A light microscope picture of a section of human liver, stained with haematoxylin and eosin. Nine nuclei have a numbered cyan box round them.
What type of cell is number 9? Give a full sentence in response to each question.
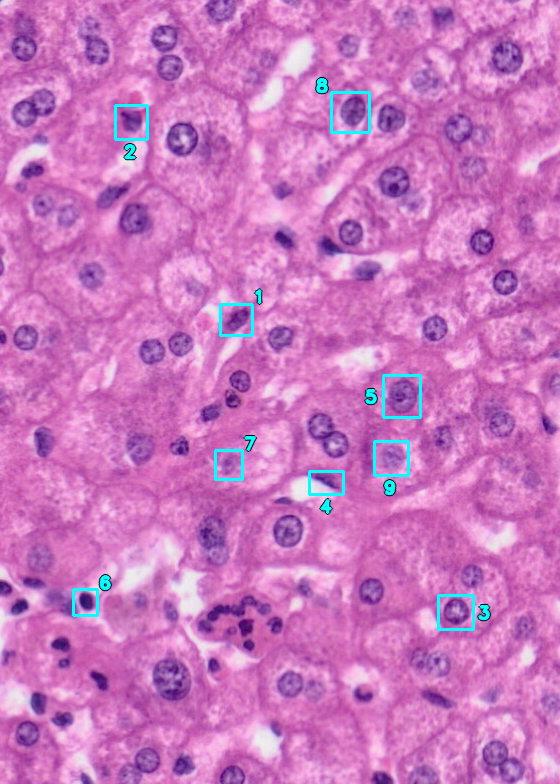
Cell 9 should be recorded as a hepatocyte.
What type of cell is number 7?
Cell number 7 in this section is a hepatocyte.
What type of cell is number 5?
The cell identified by number 5 is a hepatocyte.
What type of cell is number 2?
In this section, the cell tagged 2 is an endothelial cell.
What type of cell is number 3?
Numbered cell 3 is a hepatocyte in this tissue section.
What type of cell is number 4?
The cell identified by the number 4 is an endothelial cell.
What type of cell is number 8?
The one labeled 8 is a hepatocyte, to put it simply.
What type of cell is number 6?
What the number 6 marks in this field is a lymphocyte.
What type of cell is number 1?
Within this field of view, the cell labelled 1 is a Kupffer cell.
